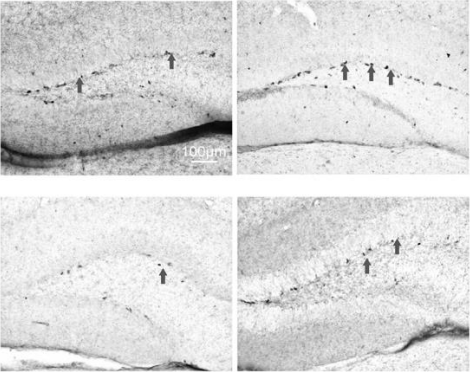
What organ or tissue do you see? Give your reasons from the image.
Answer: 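The band has the arched, blade-like shape of a gyrus within a brain section. Small darkly stained nuclei, some marked by arrows, lie along the edge of this band. That points to this answer: hippocampal dentate gyrus.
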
